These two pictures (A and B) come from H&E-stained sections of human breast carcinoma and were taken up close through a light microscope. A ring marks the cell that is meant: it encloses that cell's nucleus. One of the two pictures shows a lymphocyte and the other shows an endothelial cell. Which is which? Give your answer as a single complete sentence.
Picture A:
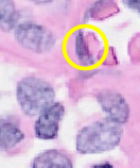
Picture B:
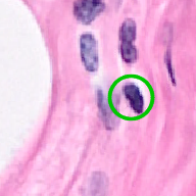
The cell in picture A is an endothelial cell, and the one in picture B is a lymphocyte.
